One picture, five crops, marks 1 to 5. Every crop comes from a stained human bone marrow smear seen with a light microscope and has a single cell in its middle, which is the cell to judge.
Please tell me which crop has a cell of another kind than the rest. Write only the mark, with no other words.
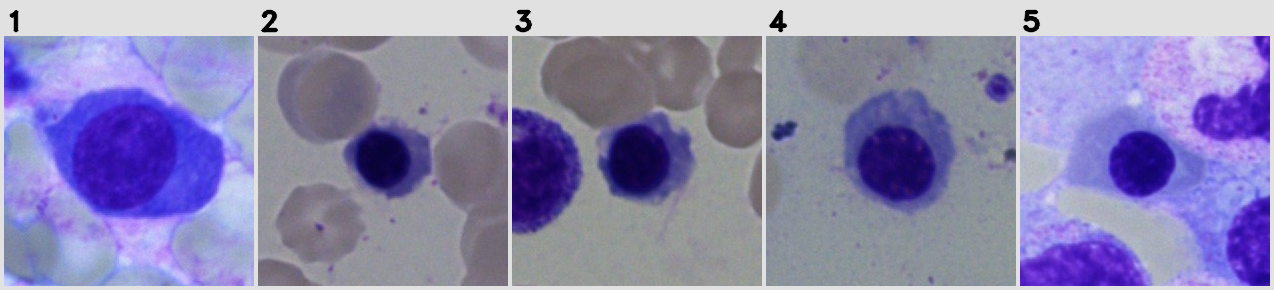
1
